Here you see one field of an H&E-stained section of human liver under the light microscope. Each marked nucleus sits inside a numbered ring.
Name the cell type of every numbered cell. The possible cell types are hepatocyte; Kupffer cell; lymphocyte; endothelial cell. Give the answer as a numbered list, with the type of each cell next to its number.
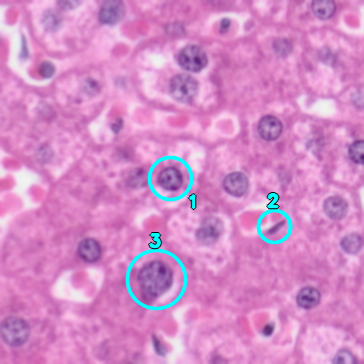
1. hepatocyte
2. endothelial cell
3. hepatocyte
